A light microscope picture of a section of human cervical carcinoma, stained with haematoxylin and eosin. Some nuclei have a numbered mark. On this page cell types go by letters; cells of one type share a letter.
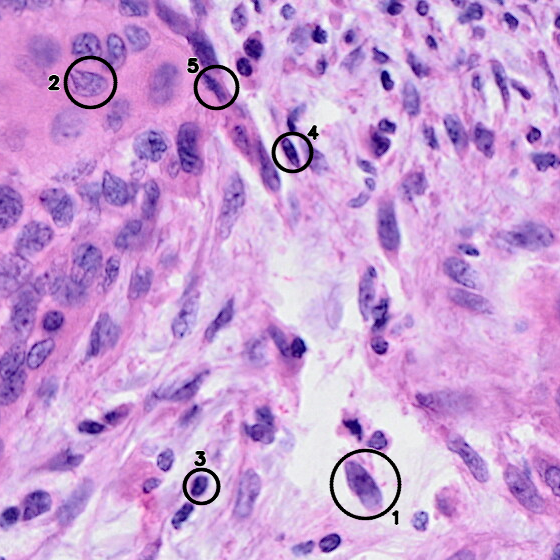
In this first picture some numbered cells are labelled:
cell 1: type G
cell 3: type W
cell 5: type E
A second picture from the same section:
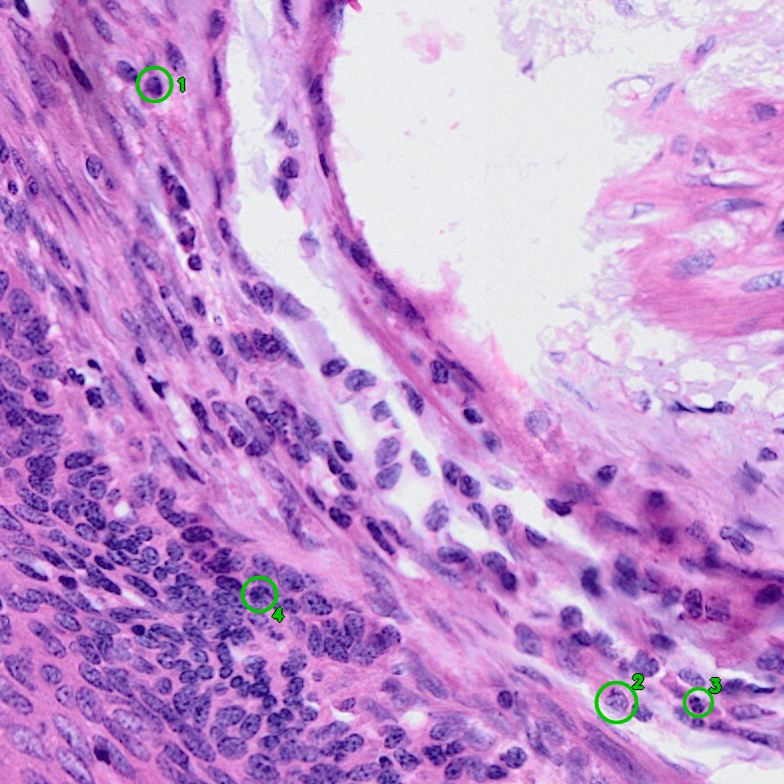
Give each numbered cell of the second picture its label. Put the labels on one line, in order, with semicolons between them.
type W; type G; type W; type E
